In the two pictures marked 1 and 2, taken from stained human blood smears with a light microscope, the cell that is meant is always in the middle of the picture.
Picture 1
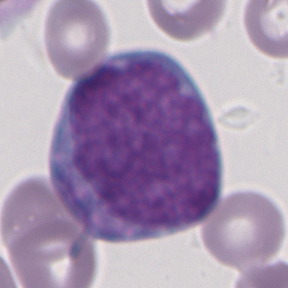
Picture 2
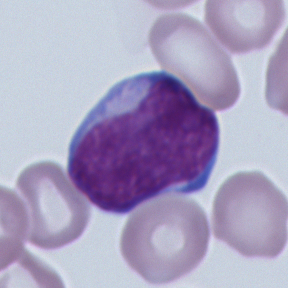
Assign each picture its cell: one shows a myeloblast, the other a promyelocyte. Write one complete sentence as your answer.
Picture 1 is of a promyelocyte, and picture 2 is of a myeloblast.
